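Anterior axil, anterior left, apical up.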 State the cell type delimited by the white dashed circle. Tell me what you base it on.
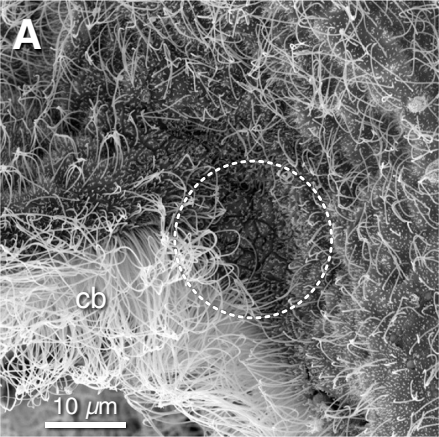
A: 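Small, apparently non-ciliated cells. Inside the circle lies a group of small polygonal cell surfaces. These cells lack the long cilia that cover the surrounding surface.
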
